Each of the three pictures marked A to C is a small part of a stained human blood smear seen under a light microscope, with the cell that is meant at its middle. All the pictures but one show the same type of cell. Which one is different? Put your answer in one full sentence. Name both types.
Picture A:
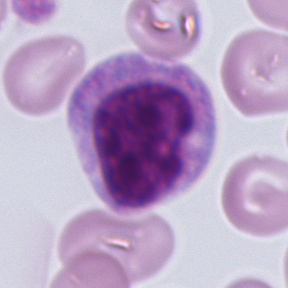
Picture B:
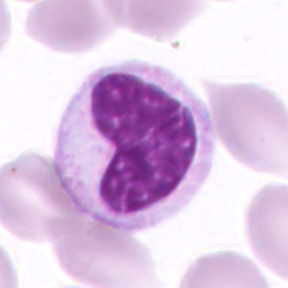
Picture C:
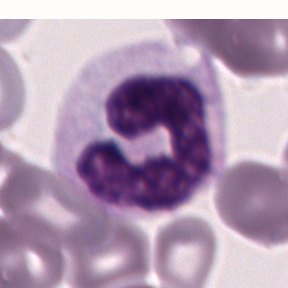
The others show metamyelocytes, but picture C shows a band neutrophil.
